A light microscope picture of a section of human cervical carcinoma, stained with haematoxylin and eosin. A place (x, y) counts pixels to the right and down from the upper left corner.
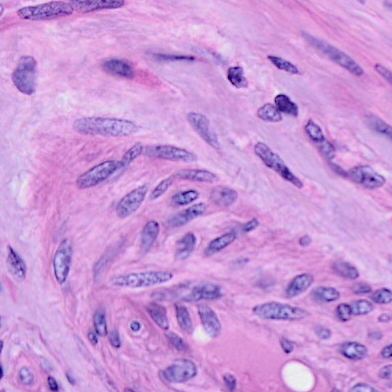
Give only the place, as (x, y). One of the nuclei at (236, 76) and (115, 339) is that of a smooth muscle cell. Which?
(115, 339)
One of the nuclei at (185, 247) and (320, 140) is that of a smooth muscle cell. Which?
(185, 247)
